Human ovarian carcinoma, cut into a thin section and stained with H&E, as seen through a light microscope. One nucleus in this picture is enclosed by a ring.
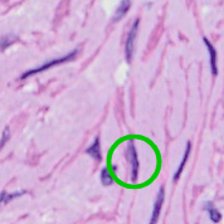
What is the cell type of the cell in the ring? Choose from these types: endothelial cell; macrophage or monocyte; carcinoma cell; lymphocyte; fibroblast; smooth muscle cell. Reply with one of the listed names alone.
fibroblast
